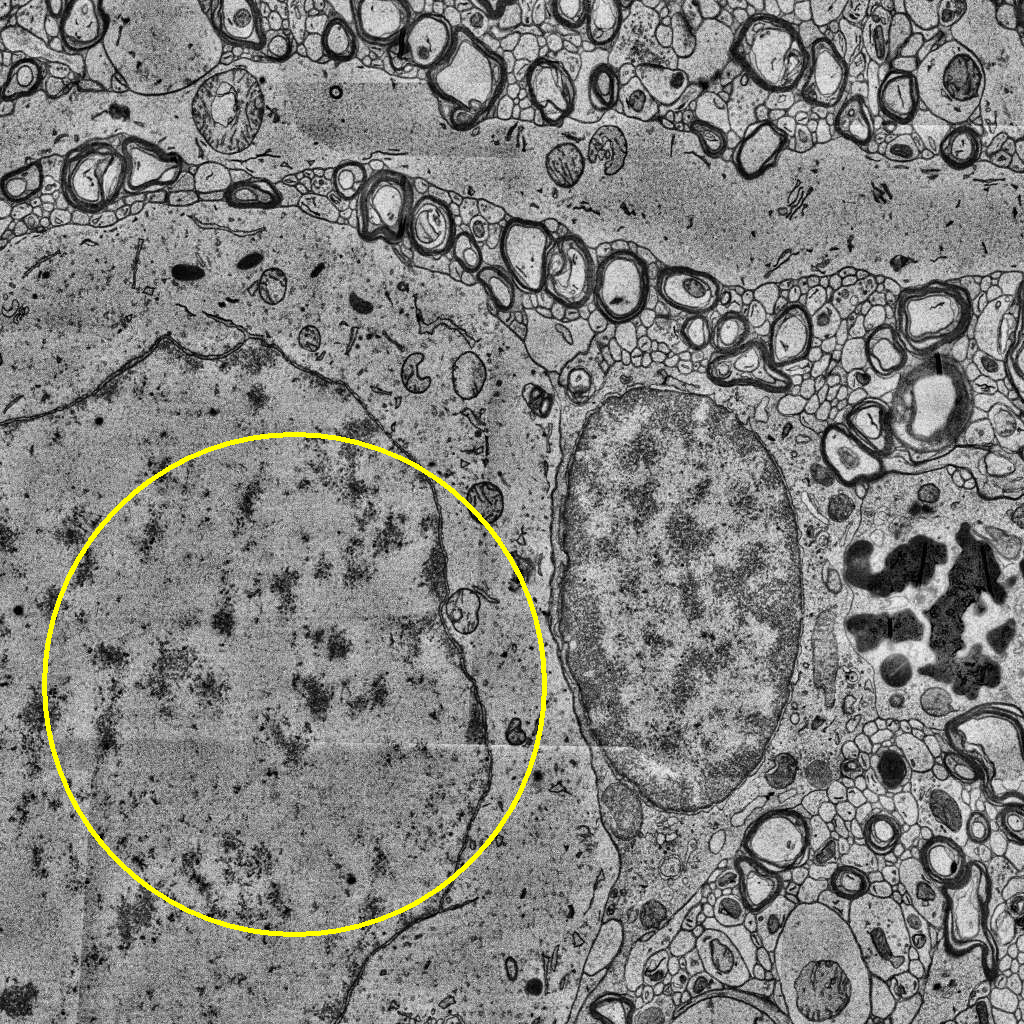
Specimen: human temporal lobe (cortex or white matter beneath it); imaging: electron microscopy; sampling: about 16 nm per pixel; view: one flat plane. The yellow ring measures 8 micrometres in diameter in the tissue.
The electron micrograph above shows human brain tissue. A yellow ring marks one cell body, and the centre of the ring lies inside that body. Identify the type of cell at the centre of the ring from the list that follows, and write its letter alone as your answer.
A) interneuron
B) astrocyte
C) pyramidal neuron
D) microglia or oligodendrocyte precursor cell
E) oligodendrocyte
C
